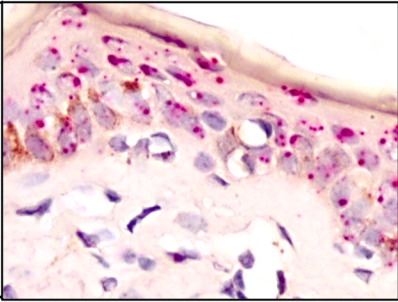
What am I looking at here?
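The keratinocytes have round to oval blue nuclei and pale cytoplasm, and many of them carry small red dots in and around the nucleus. Some brownish pigment lies in the lower cells of the epidermis, while a thin layer of flattened cornified material covers the surface. In the dermis below, elongated dark nuclei of connective tissue cells lie in pale matrix with hardly any red dots.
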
